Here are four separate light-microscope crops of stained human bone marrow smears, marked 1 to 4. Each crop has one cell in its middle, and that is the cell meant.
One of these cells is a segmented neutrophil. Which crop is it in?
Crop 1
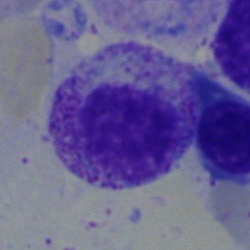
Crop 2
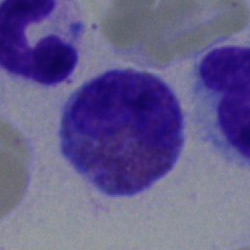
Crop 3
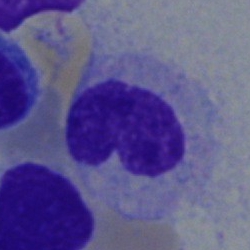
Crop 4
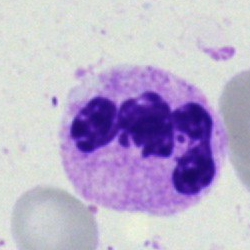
4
